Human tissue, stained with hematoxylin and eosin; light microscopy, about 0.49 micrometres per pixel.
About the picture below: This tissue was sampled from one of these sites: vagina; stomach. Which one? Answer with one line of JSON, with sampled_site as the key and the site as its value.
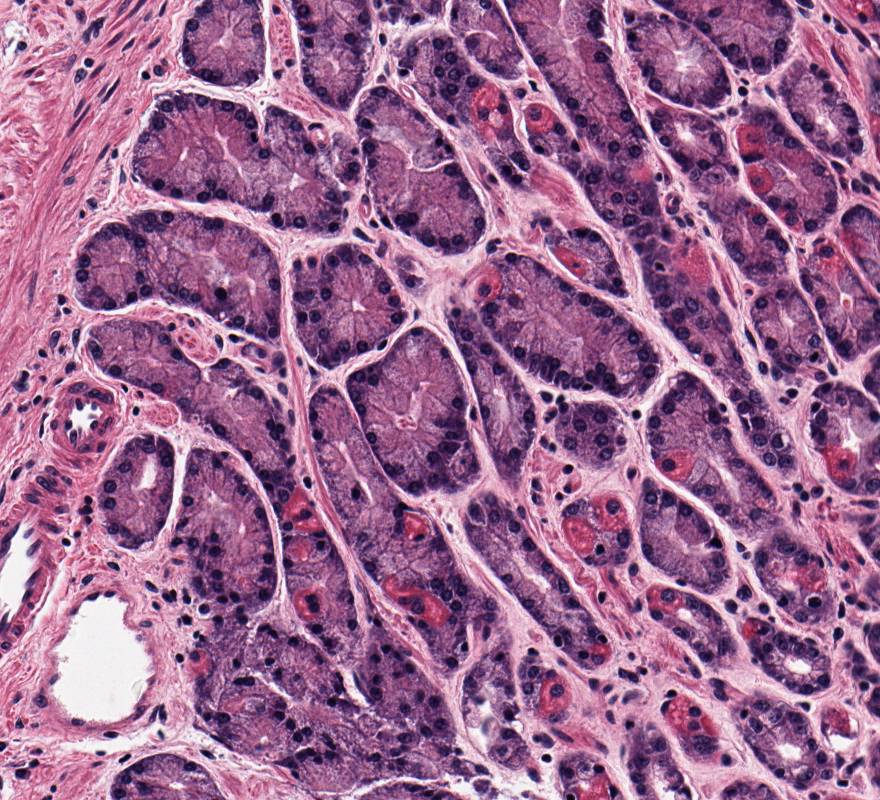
{"sampled_site": "stomach"}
